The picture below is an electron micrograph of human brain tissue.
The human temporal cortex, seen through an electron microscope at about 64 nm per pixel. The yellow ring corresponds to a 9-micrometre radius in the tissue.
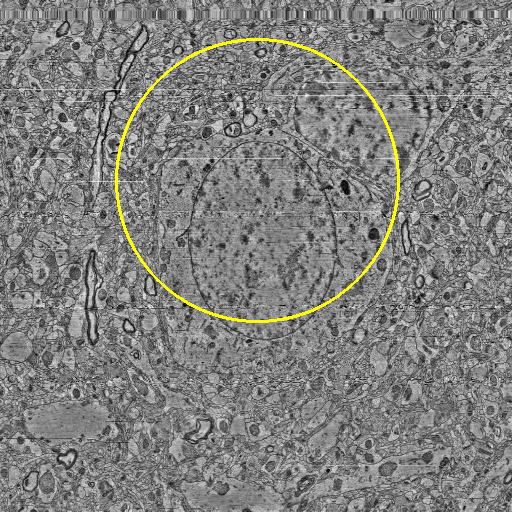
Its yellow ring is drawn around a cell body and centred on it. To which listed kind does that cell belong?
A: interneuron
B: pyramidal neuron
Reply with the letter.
B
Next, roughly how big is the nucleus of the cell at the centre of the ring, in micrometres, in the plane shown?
In this plane the nucleus is about 13 micrometres by 10.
